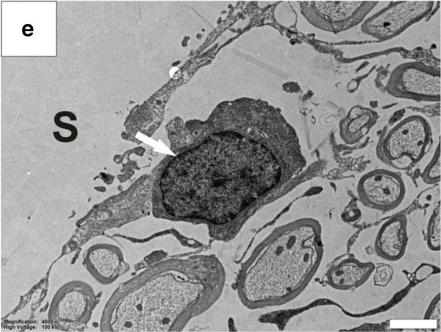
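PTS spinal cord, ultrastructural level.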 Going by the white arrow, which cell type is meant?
Astrocytes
